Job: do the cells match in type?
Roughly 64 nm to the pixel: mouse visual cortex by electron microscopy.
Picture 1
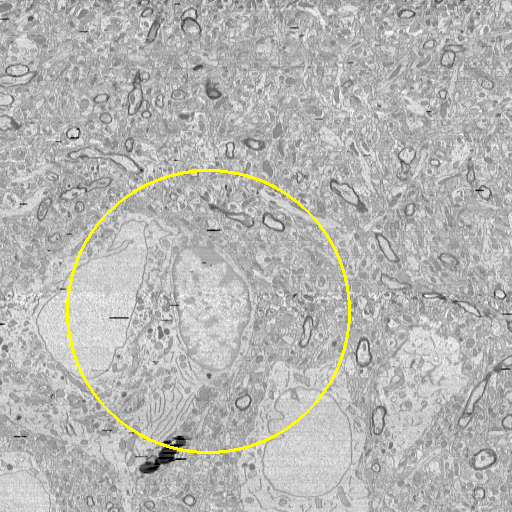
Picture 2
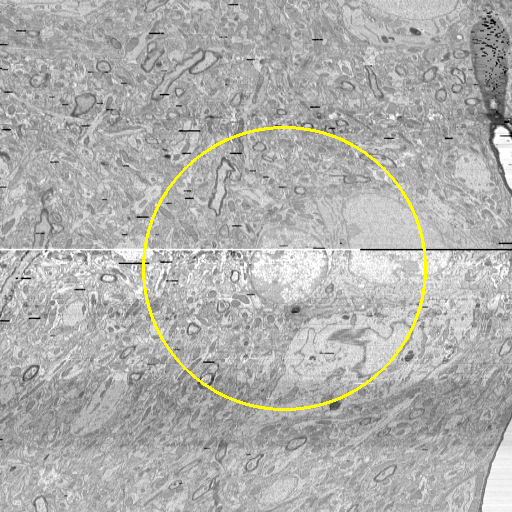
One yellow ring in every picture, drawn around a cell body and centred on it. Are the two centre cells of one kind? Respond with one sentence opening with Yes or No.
Yes, the ringed cells in the two pictures are of one and the same kind.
